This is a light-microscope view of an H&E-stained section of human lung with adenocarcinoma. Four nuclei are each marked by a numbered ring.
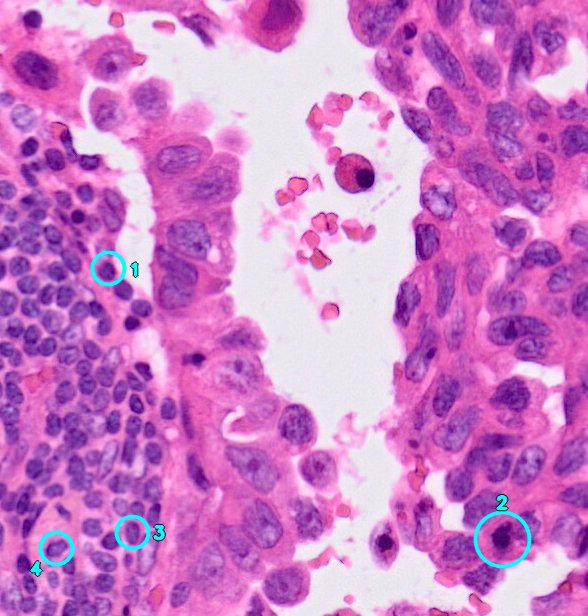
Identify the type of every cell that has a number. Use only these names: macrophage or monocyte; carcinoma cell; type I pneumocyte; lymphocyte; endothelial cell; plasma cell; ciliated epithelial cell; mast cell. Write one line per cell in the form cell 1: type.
cell 1: lymphocyte
cell 2: carcinoma cell
cell 3: lymphocyte
cell 4: lymphocyte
